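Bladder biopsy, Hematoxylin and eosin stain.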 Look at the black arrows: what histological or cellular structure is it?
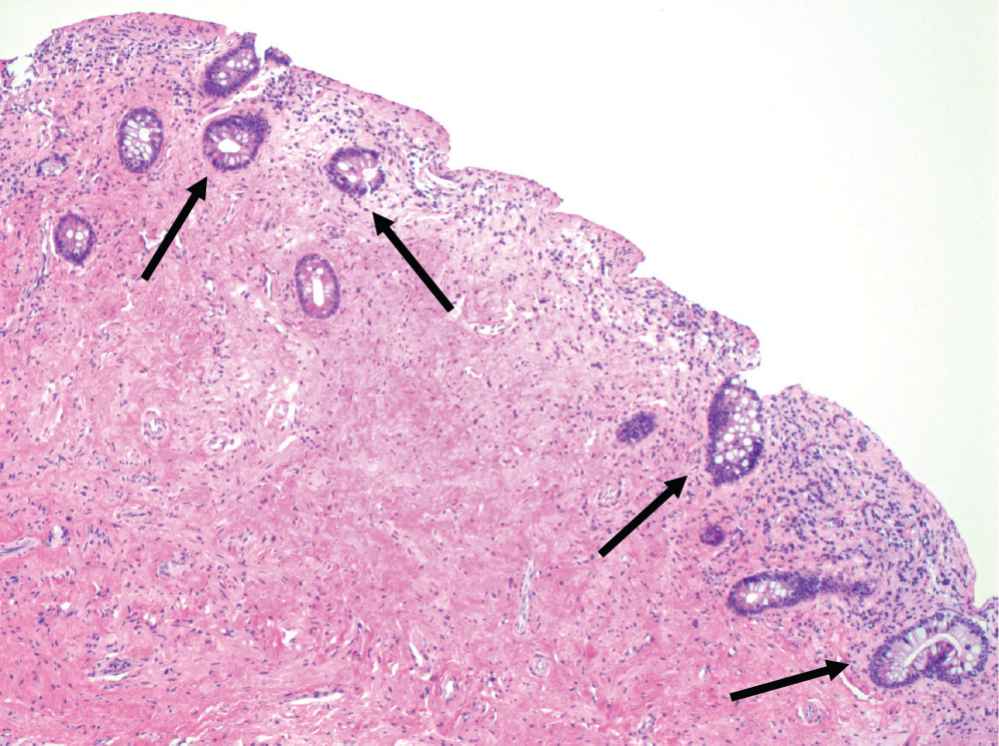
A: Intestinal type glands.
